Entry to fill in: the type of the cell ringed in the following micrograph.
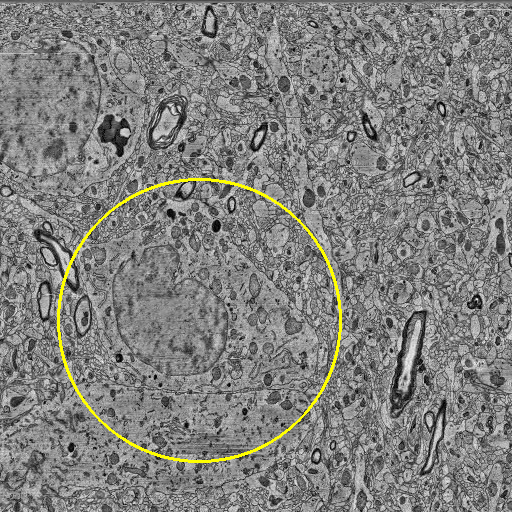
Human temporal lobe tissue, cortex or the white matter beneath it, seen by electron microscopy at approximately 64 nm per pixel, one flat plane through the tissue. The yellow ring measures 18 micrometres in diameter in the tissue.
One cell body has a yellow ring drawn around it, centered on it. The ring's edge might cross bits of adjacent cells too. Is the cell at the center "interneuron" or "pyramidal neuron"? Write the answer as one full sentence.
This entry names an interneuron as the cell whose body lies at the ring's center.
